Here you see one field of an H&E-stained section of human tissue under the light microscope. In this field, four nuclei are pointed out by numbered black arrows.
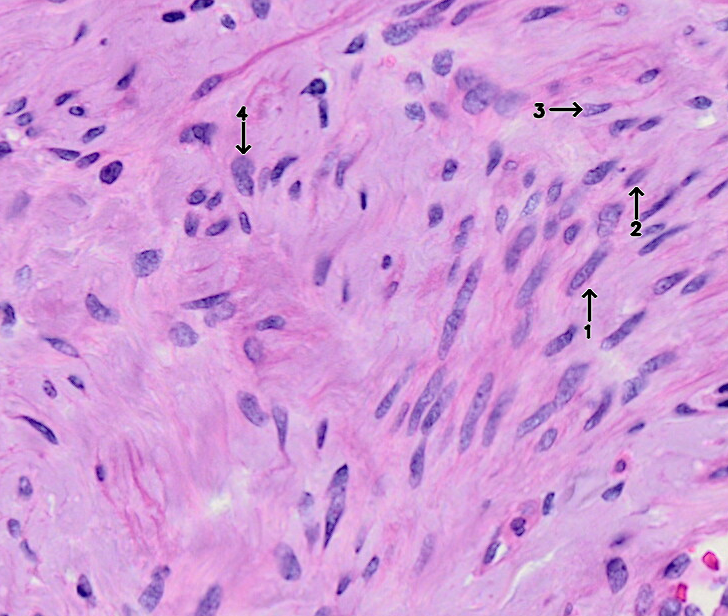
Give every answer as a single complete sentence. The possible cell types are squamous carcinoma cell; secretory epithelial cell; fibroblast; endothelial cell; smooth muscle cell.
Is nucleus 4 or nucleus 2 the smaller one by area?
Number 2 is smaller, since number 4 takes up about 2.5 times as much area.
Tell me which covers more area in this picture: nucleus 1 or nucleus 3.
Nucleus 1 covers more area, about 2.5 times as much as nucleus 3.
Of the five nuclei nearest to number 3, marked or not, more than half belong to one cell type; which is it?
Of the five nuclei nearest to number 3, most belong to smooth muscle cells.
